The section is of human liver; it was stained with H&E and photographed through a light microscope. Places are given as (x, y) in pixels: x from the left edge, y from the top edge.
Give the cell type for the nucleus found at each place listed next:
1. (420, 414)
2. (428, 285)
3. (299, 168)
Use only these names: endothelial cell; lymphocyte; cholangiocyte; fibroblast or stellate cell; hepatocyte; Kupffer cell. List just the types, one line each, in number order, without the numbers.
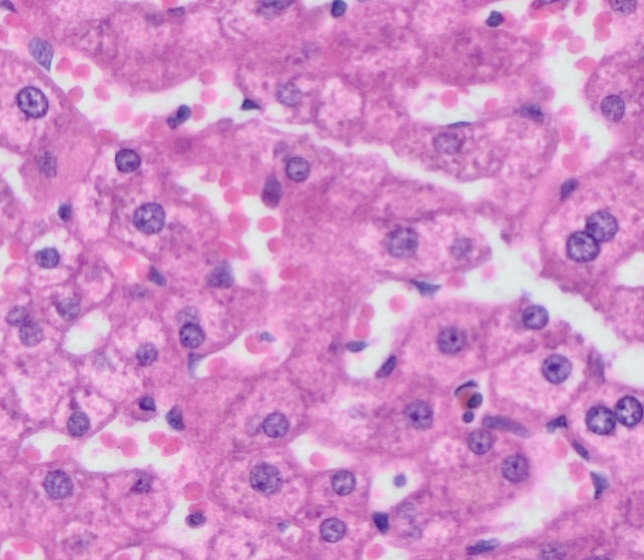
hepatocyte
endothelial cell
hepatocyte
